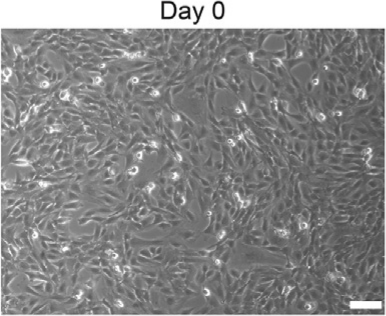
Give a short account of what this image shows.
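This is a dense monolayer of cultured cells covering nearly the whole surface of the dish. The cells are flat, mostly separate and short, with polygonal, triangular or spindle shapes and a few thin processes. They lie in no common direction and touch their neighbours over most of the field, leaving only small gaps. Scattered among them are small, round, bright refractile cells that stand out from the flat sheet, probably rounded-up cells. No long, fused, tube-like cells are present.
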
